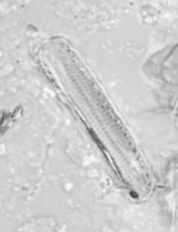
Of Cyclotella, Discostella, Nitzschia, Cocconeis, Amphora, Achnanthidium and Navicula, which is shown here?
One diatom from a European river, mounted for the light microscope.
Nitzschia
